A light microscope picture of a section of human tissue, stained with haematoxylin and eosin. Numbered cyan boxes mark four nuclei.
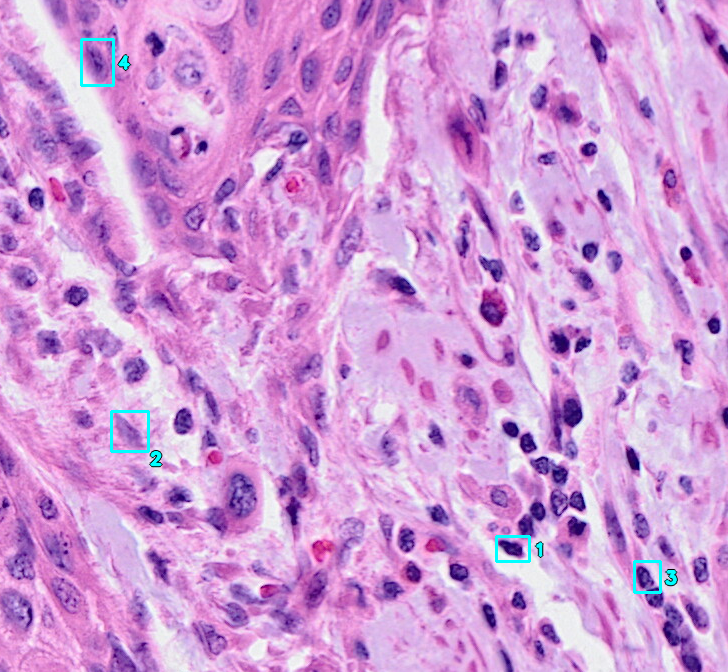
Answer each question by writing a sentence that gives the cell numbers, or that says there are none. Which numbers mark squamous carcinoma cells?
Only one of the numbered nuclei, number 4, belongs to a squamous carcinoma cell.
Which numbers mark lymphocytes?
The cells tagged with numbers 1 and 3 are lymphocytes.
